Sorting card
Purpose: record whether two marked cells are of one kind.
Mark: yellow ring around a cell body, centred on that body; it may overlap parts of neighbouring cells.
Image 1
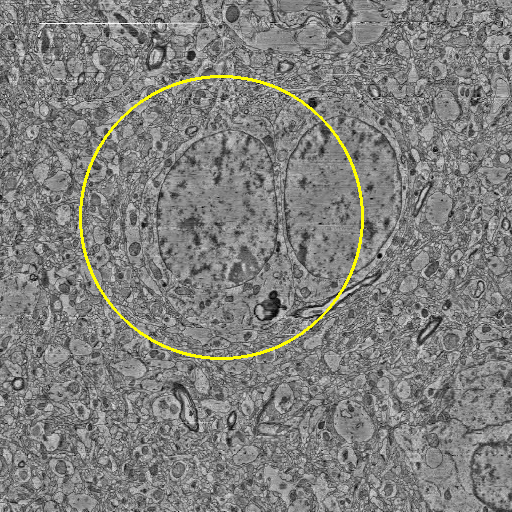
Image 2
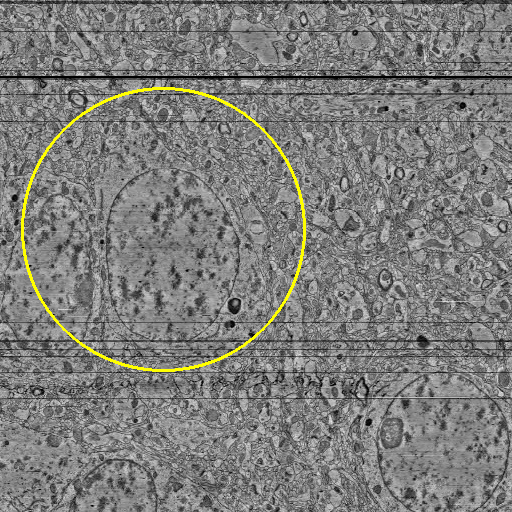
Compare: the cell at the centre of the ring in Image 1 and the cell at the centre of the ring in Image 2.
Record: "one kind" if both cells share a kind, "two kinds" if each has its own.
one kind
